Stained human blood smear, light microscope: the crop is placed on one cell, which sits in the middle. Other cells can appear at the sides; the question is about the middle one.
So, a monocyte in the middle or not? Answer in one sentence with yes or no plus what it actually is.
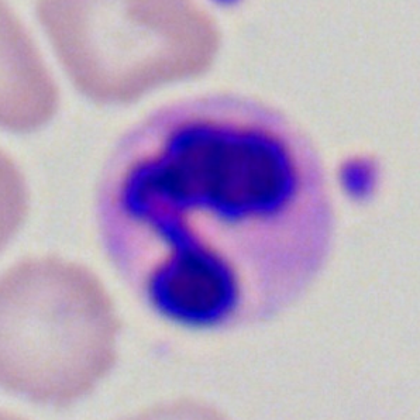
No, the central cell is identified not as a monocyte but as a segmented neutrophil.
